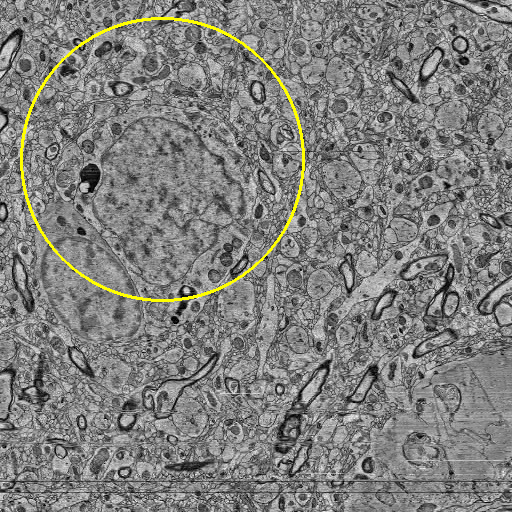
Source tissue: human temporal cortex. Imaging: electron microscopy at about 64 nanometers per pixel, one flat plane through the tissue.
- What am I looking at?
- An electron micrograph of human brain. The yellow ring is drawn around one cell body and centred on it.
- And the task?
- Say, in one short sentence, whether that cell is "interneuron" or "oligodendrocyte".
The cell in the middle of the ring is an interneuron.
